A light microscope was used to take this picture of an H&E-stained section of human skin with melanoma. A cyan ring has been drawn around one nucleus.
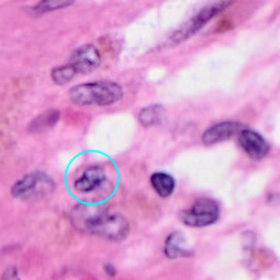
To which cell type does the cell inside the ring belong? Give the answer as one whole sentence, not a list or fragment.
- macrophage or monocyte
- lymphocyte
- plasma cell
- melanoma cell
As far as its identity is concerned, the cell inside the ring is a lymphocyte.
